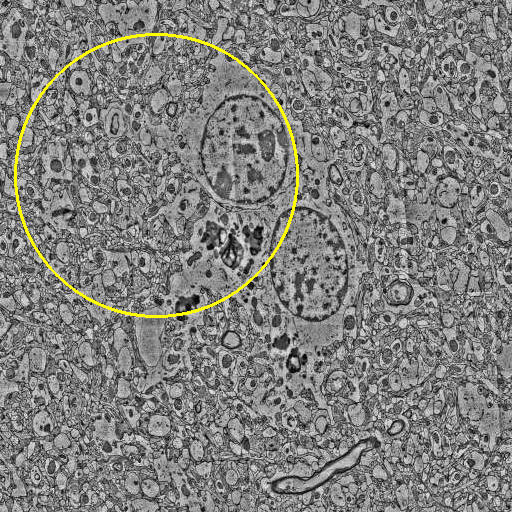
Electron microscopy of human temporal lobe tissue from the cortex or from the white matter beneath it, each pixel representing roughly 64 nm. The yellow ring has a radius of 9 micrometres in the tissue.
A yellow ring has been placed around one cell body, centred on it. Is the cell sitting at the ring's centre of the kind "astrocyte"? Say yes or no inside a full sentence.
Yes, the cell sitting at the centre of the yellow ring is of that kind.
